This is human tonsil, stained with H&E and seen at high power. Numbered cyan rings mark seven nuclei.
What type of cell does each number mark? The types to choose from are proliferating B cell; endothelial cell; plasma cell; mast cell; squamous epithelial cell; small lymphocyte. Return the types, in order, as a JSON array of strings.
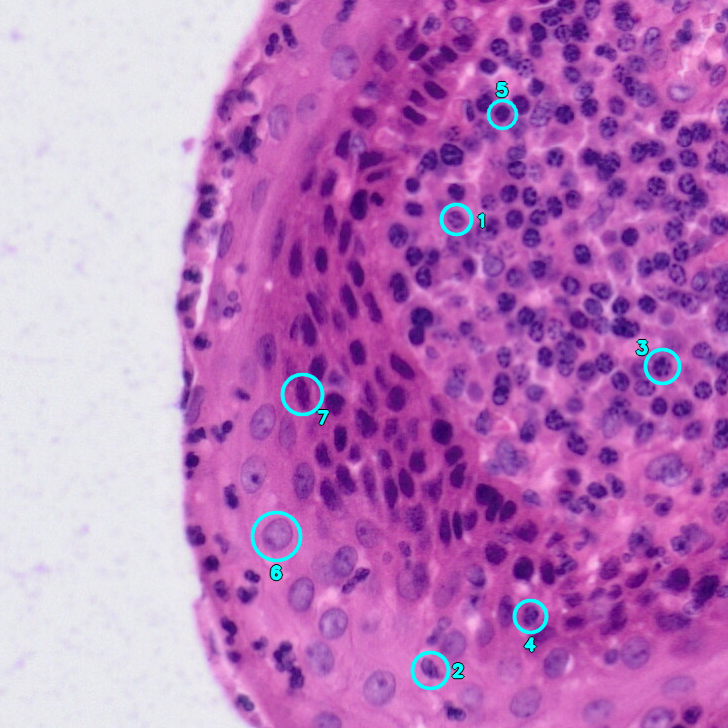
["plasma cell", "squamous epithelial cell", "plasma cell", "squamous epithelial cell", "plasma cell", "squamous epithelial cell", "squamous epithelial cell"]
